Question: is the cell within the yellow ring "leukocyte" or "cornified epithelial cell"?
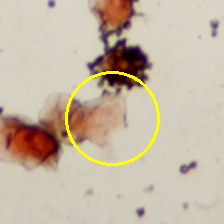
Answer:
cornified epithelial cell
